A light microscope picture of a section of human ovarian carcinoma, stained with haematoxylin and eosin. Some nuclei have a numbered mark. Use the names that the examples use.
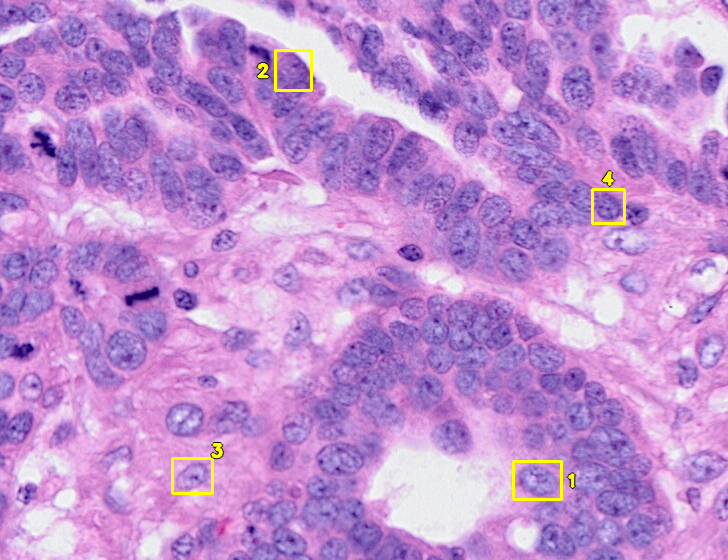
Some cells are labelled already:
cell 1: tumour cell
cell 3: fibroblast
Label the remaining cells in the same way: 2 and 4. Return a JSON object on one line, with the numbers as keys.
{"2": "tumour cell", "4": "tumour cell"}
